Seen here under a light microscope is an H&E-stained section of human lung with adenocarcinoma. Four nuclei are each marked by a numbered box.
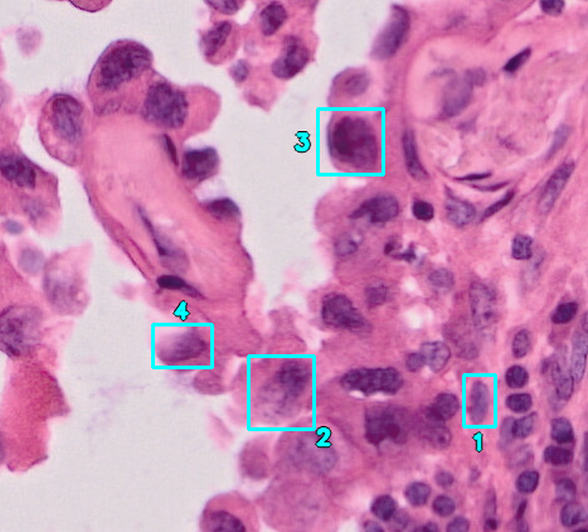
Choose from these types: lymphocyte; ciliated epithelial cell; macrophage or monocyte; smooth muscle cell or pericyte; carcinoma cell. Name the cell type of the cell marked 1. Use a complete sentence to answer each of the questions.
Identified as a lymphocyte is the cell bearing the number 1.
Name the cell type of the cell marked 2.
Numbered cell 2 is a carcinoma cell in this tissue section.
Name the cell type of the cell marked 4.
The label 4 in this section denotes a carcinoma cell.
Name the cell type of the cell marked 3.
The correct answer for cell 3 is a carcinoma cell.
